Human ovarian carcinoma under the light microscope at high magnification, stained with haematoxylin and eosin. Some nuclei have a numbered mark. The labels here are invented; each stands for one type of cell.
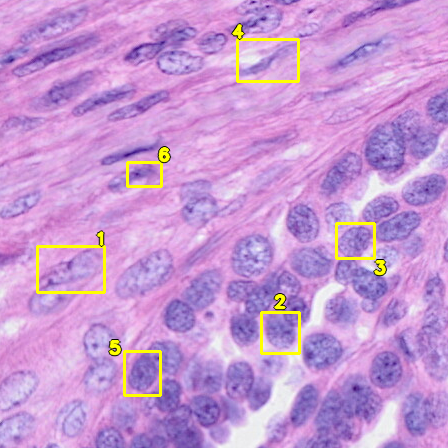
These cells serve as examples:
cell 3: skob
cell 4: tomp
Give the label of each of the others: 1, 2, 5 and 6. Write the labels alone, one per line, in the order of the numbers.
tomp
skob
skob
tomp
